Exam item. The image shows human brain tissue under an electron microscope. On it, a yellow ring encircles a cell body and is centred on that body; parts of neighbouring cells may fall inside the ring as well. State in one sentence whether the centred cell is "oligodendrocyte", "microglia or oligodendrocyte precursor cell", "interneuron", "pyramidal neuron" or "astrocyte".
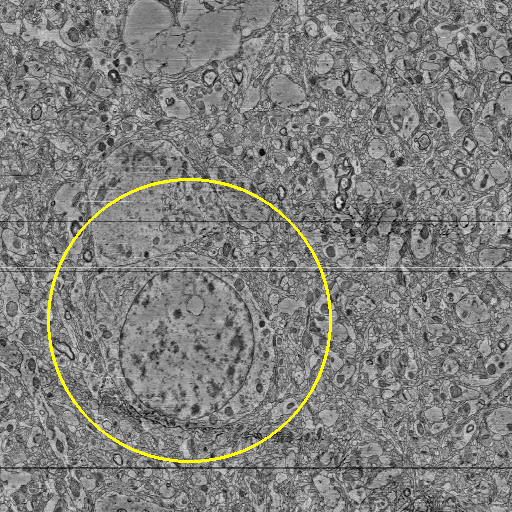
The cell body centred in the ring is a pyramidal neuron.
